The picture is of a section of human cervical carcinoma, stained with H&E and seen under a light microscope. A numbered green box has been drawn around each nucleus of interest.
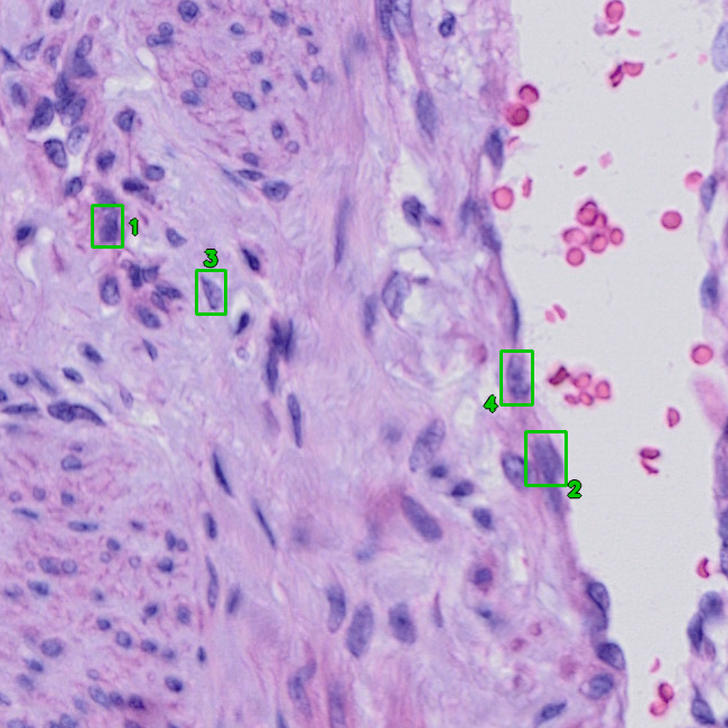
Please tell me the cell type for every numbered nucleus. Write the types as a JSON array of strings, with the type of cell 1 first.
["endothelial cell", "endothelial cell", "fibroblast", "endothelial cell"]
